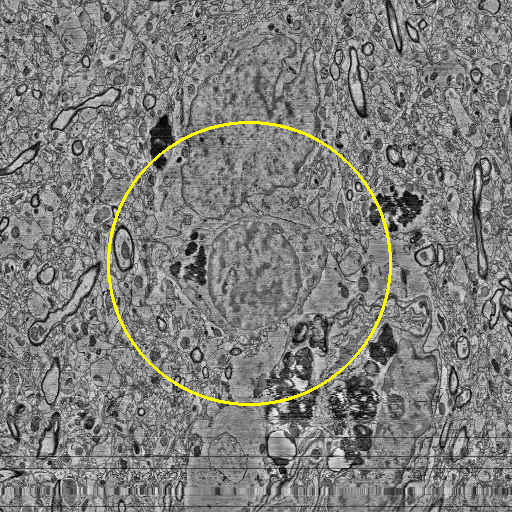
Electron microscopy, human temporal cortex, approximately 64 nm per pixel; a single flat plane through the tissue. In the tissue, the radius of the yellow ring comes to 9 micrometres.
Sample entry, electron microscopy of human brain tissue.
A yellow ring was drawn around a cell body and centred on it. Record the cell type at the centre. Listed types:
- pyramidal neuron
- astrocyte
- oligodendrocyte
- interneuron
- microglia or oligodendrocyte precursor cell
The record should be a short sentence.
The cell at the ring's centre is an oligodendrocyte.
